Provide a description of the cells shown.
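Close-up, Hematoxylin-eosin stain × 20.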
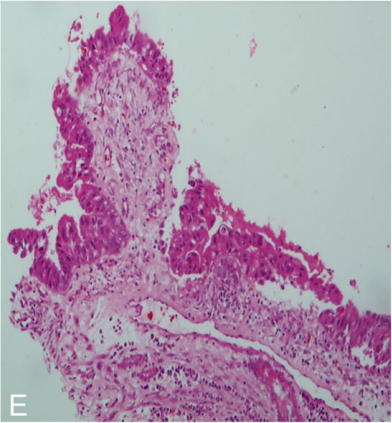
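At higher power, this is a papillary frond whose loose, pale fibrous stem is covered by a lining of tumour epithelial cells. The lining is only a few cells thick, and the cells are tall with dense, deep pink cytoplasm. Beneath the stem, further loose connective tissue with scattered small dark nuclei and thin vessels is seen.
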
